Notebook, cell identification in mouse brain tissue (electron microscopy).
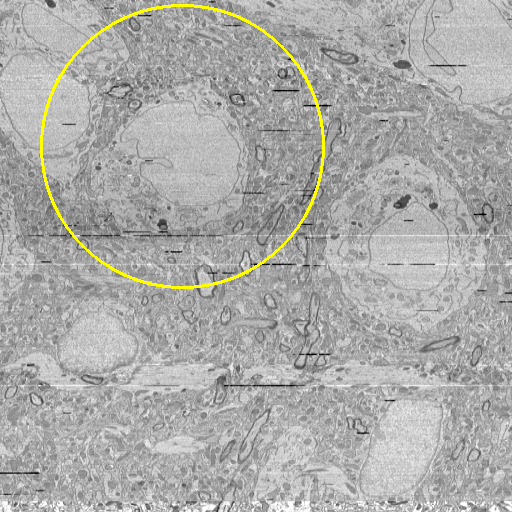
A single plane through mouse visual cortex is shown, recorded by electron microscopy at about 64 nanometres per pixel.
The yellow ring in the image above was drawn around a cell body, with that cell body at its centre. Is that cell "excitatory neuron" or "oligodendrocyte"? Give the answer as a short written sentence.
The cell in the ring is an excitatory neuron.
